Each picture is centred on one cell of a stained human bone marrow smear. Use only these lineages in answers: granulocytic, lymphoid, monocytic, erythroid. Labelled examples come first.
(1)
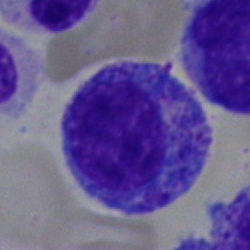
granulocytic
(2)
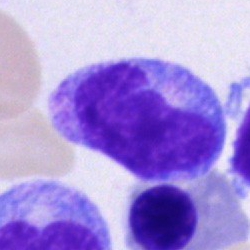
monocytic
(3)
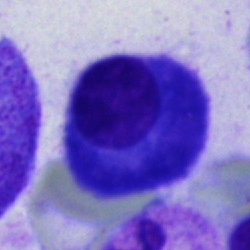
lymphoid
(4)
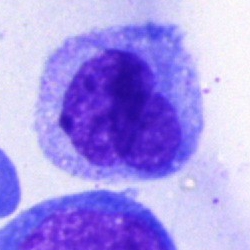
monocytic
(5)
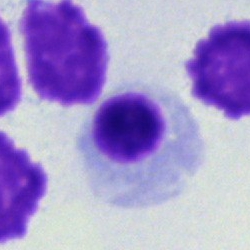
erythroid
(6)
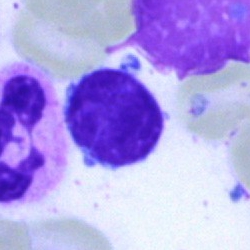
lymphoid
